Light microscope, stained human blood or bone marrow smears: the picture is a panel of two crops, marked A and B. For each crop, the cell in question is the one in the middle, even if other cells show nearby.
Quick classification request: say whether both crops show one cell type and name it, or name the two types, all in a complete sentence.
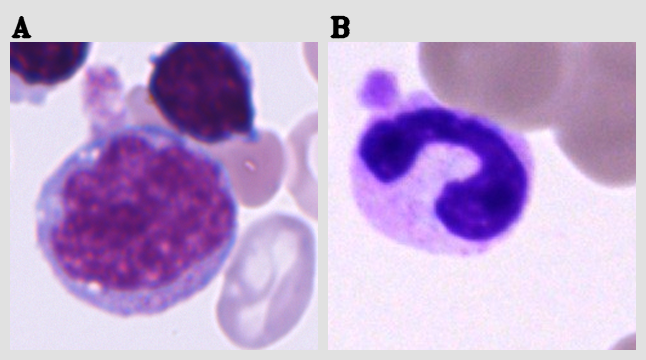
No, crop B centres on a band neutrophil, and crop A centres on a monocyte.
